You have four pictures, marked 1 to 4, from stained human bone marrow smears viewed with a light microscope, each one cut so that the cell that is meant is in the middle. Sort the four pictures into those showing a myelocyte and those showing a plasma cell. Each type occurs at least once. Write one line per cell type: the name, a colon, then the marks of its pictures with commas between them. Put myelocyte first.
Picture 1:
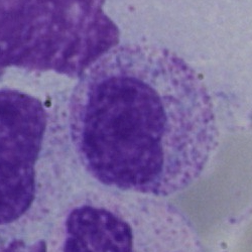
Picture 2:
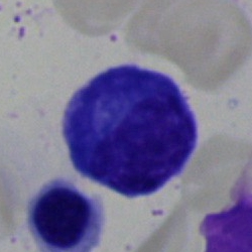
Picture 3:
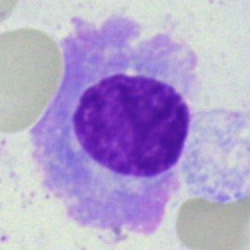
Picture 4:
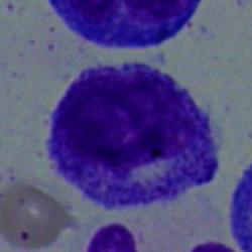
myelocyte: 1, 4
plasma cell: 2, 3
